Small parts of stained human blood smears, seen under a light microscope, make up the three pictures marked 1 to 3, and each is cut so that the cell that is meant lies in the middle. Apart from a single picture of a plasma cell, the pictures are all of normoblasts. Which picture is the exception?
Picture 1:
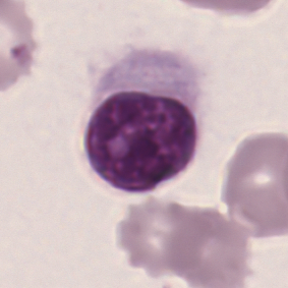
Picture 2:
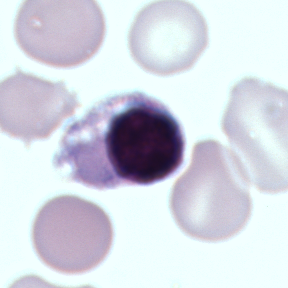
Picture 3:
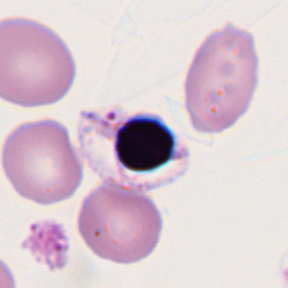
1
